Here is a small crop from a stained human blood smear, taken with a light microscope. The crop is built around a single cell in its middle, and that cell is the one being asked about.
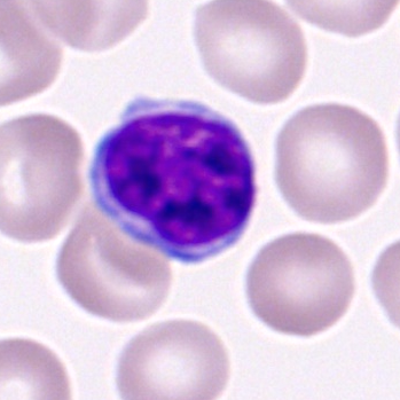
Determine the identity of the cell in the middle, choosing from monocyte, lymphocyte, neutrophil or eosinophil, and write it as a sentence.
The crop centres on a single cell, and that cell is a lymphocyte.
